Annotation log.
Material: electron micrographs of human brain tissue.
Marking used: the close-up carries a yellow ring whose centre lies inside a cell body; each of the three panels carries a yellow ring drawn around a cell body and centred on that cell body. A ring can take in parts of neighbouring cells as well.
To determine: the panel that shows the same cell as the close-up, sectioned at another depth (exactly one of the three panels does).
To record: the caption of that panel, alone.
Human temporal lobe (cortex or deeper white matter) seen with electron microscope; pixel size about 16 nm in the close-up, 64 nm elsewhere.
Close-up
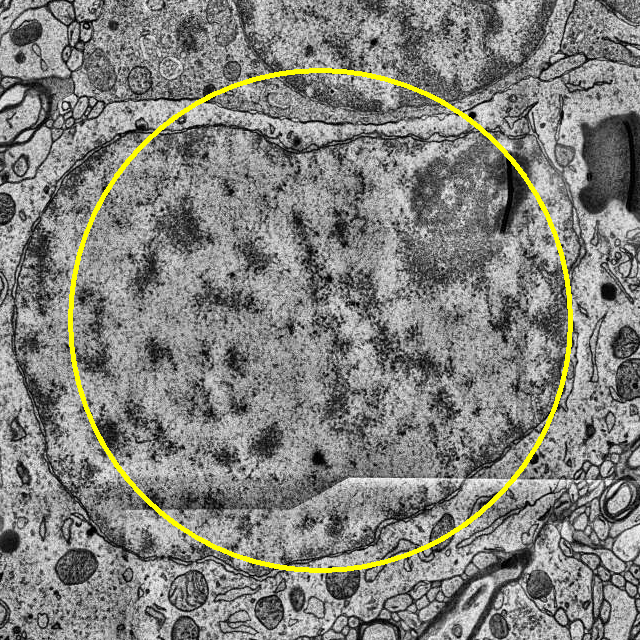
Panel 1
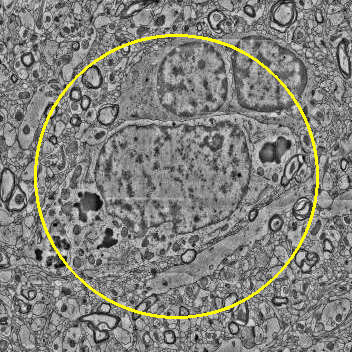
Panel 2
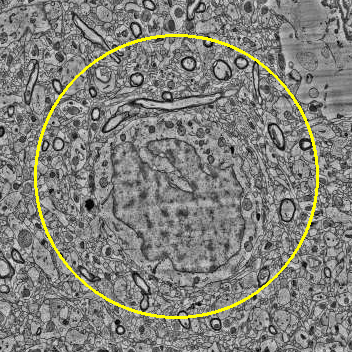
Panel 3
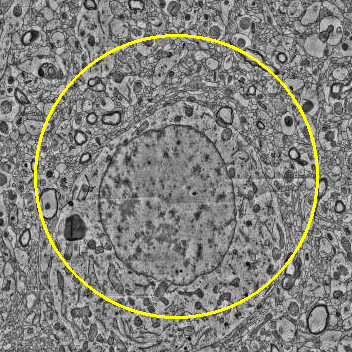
Panel 1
